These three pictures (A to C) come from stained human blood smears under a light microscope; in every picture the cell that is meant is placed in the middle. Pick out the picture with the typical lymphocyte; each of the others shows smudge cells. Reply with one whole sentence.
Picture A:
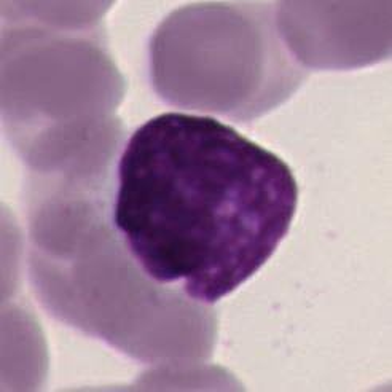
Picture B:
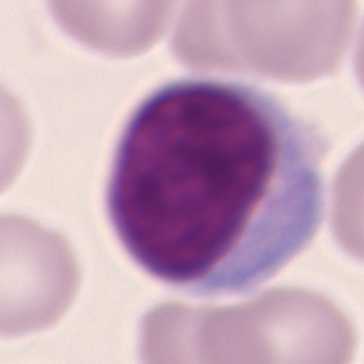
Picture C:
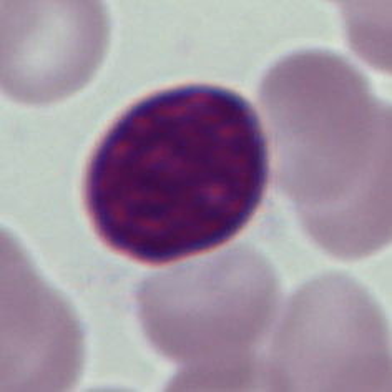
The typical lymphocyte is the one in picture B.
